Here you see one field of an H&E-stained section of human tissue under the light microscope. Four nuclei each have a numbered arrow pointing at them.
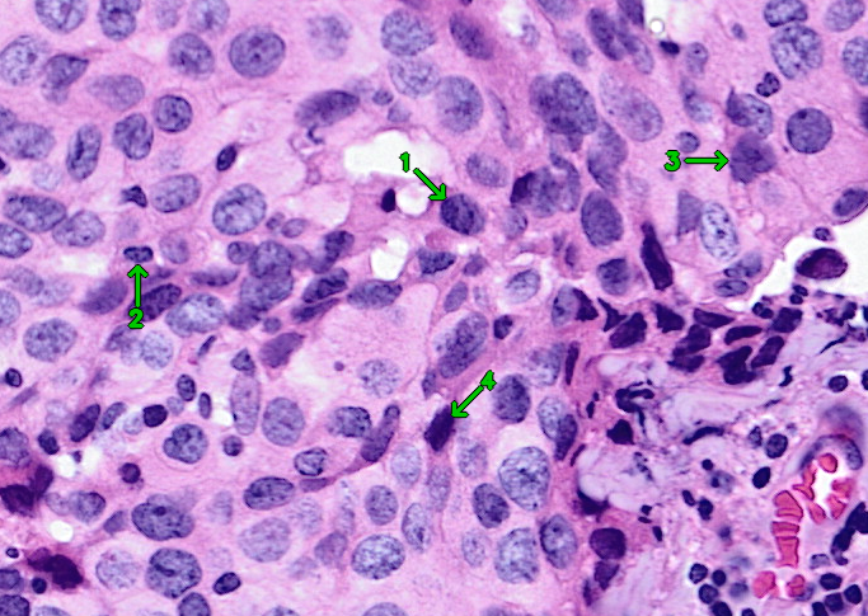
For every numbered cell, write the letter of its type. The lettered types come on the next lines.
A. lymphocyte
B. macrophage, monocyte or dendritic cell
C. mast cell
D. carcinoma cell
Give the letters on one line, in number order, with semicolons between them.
D; A; D; D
